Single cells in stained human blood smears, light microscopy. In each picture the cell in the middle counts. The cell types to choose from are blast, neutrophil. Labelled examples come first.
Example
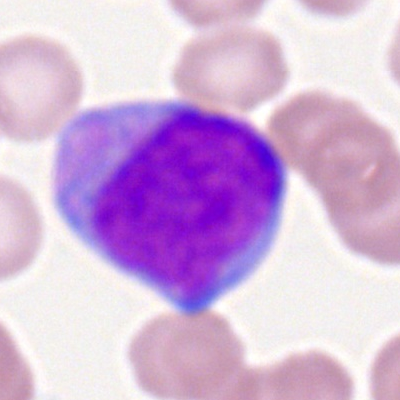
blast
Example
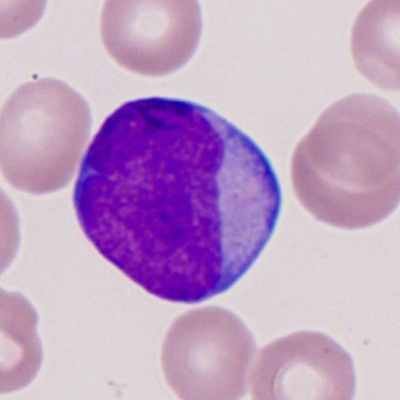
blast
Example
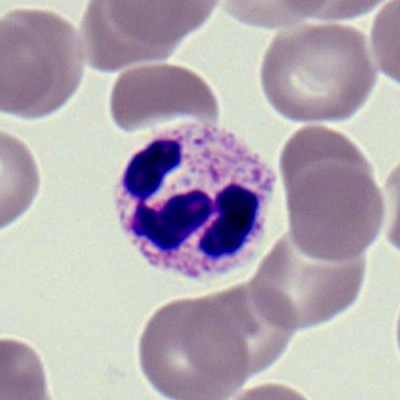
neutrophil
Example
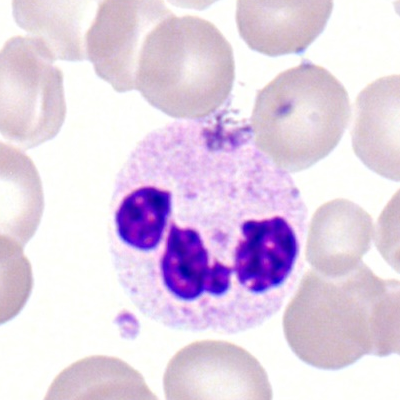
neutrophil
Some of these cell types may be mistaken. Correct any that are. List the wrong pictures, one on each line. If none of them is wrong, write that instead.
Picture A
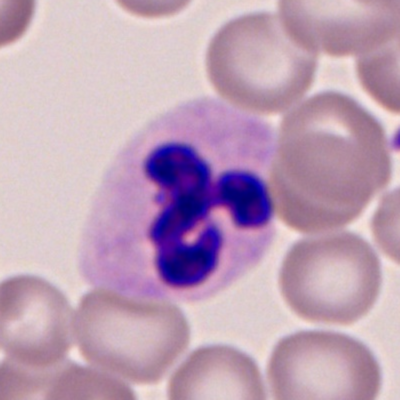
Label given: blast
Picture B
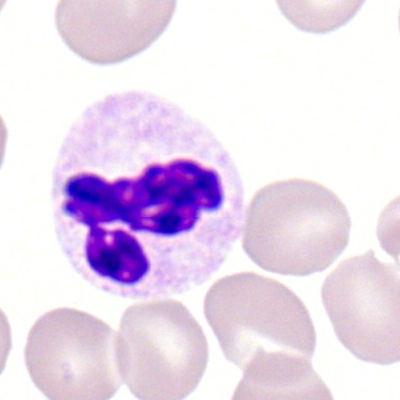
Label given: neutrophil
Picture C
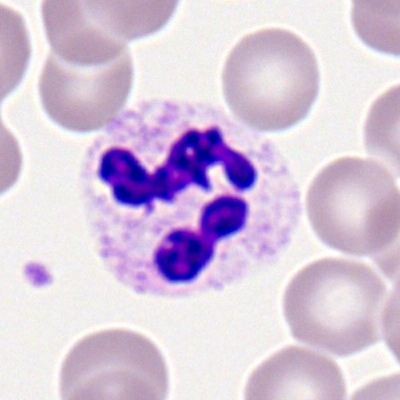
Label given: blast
A is labelled blast; correct label: neutrophil
C is labelled blast; correct label: neutrophil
